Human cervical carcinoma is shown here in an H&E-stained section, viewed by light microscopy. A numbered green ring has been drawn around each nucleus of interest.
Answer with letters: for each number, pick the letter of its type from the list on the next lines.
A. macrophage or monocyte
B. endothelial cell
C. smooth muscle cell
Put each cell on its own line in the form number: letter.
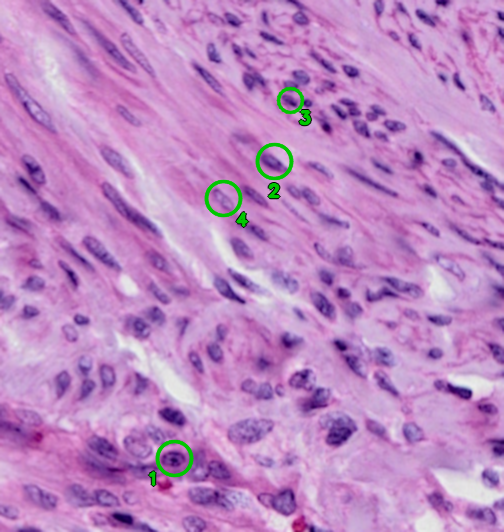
1: B
2: C
3: C
4: C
